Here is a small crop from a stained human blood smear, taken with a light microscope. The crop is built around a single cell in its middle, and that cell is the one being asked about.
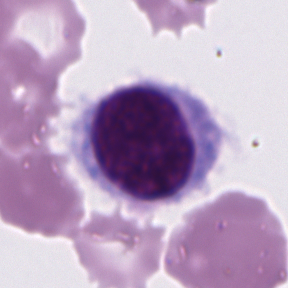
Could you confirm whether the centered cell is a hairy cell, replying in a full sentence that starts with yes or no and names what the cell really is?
Yes, the cell in the middle has the identity of a hairy cell.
